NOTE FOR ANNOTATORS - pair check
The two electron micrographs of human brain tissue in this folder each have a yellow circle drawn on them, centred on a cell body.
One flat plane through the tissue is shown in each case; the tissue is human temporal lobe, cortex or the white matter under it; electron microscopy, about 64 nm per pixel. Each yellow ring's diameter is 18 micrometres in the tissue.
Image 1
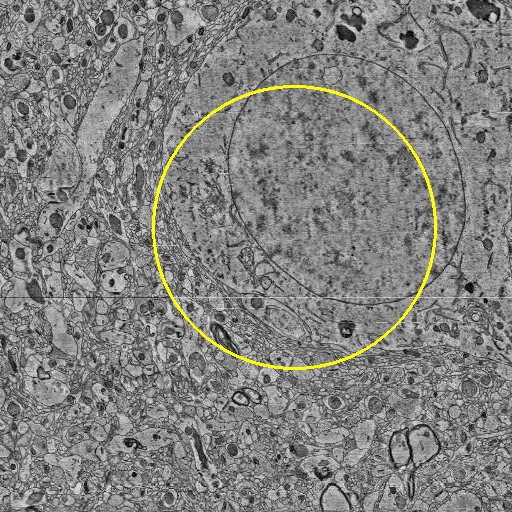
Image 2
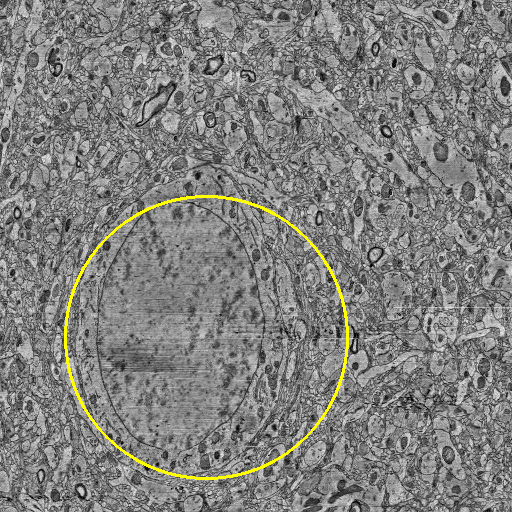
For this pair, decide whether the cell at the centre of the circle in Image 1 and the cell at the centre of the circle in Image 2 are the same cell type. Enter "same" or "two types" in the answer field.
same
